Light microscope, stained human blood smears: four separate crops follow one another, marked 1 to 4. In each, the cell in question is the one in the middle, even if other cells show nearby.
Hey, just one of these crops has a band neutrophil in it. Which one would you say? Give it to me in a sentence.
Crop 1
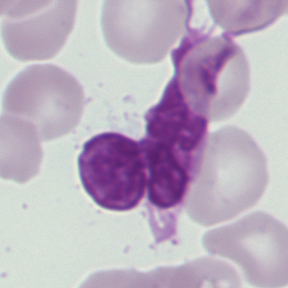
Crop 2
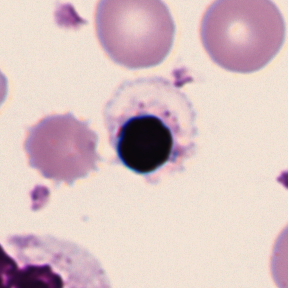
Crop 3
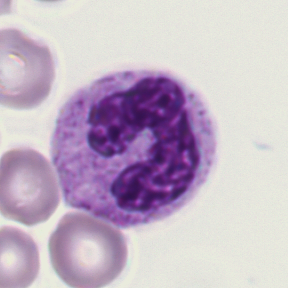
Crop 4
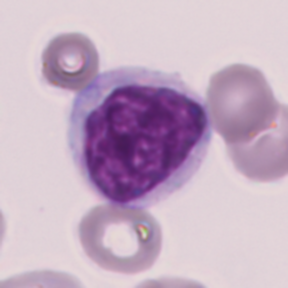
Crop 3 is identified as the crop showing a band neutrophil.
